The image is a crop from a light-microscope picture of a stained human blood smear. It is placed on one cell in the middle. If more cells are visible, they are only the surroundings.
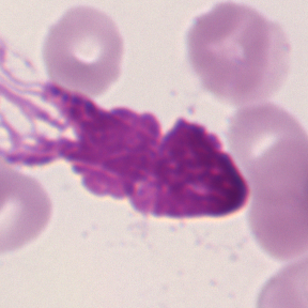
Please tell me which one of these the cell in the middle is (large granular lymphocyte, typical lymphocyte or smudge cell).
smudge cell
